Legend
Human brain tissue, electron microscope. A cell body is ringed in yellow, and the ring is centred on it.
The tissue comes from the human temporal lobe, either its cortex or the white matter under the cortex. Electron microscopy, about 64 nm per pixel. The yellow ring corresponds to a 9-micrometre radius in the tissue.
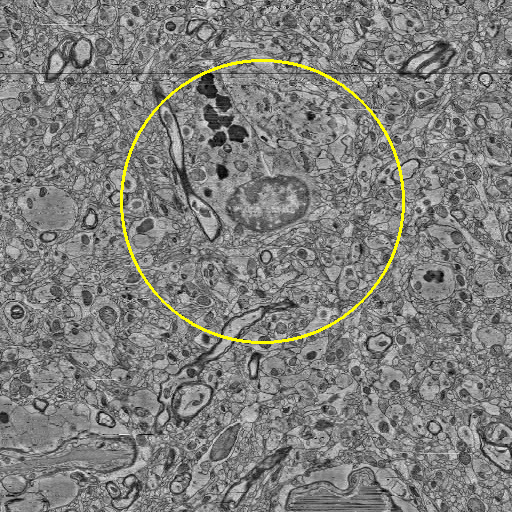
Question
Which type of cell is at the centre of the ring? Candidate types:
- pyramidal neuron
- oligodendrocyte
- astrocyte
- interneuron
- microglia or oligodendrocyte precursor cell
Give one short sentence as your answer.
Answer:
The yellow ring is centred here on an oligodendrocyte.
